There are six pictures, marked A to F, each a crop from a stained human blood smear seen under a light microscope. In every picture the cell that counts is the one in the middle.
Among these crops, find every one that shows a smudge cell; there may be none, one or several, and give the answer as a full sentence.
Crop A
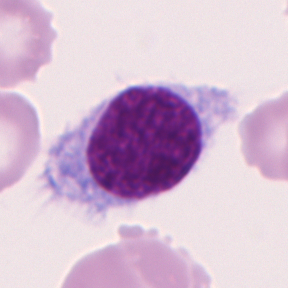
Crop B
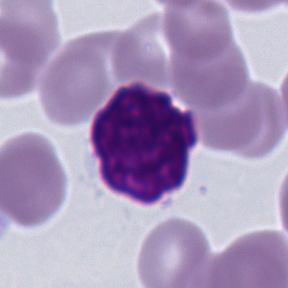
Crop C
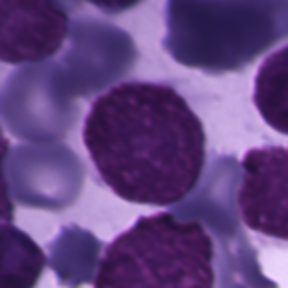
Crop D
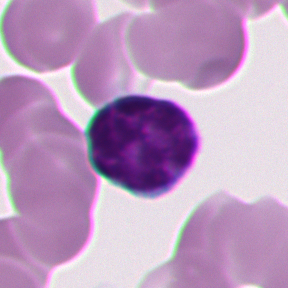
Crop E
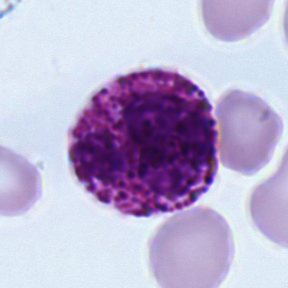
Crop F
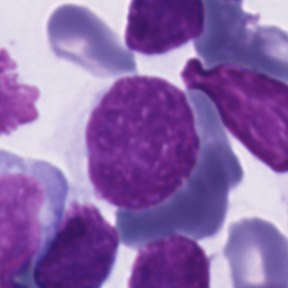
As for crops B and C, they show smudge cells.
